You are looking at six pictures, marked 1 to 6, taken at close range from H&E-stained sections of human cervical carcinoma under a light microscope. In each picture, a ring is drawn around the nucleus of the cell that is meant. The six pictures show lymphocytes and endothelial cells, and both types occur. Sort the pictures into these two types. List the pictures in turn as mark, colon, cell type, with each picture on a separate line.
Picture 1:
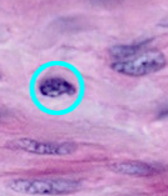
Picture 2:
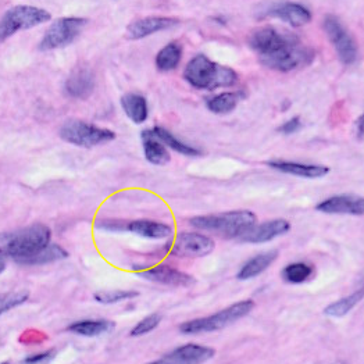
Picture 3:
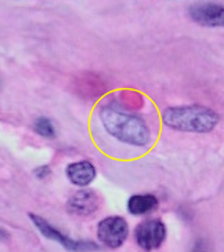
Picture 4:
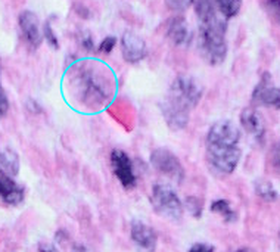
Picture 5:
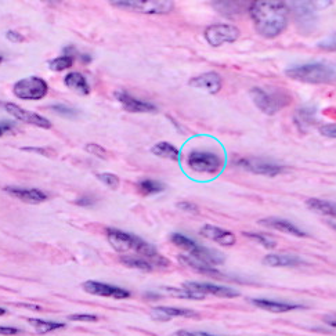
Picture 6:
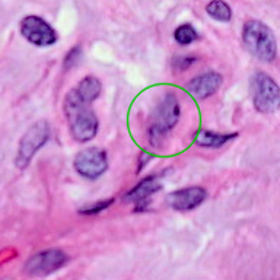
1: lymphocyte
2: endothelial cell
3: endothelial cell
4: endothelial cell
5: lymphocyte
6: endothelial cell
